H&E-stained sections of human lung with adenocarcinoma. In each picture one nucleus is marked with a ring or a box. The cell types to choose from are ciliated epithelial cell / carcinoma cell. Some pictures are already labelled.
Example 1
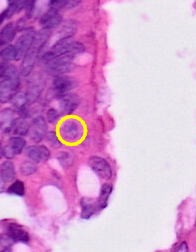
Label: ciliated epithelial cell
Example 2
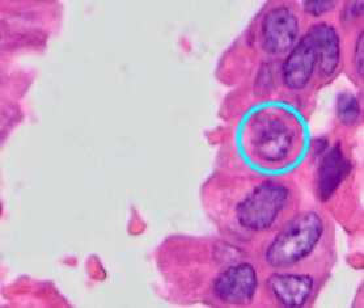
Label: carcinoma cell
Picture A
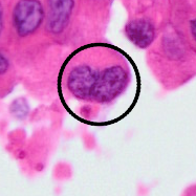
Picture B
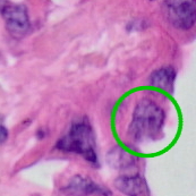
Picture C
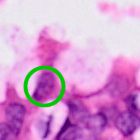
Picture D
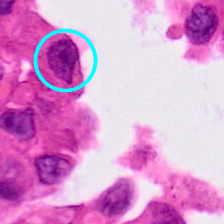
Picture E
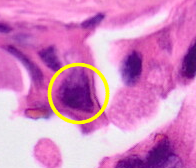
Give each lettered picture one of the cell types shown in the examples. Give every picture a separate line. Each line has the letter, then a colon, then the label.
A: carcinoma cell
B: carcinoma cell
C: ciliated epithelial cell
D: carcinoma cell
E: carcinoma cell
